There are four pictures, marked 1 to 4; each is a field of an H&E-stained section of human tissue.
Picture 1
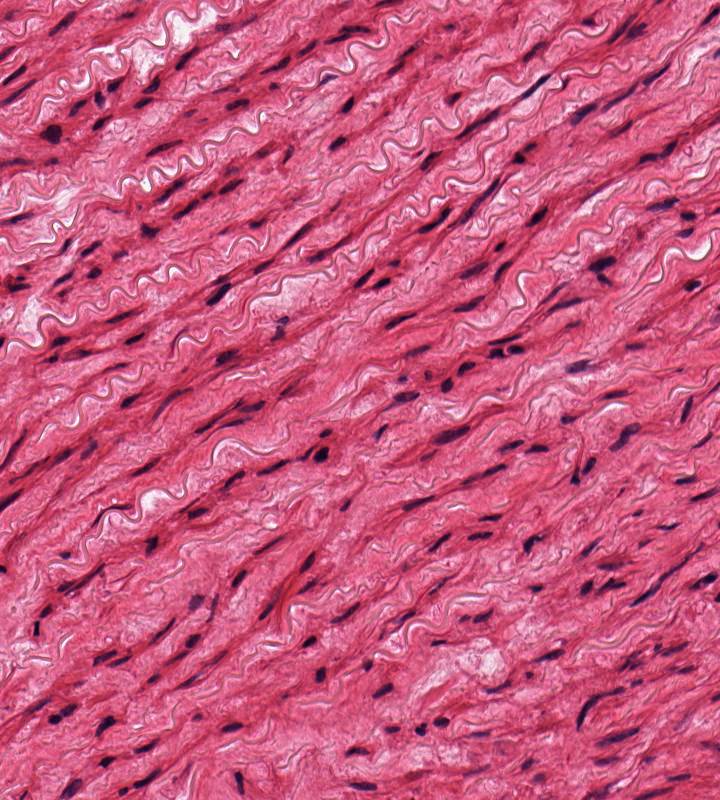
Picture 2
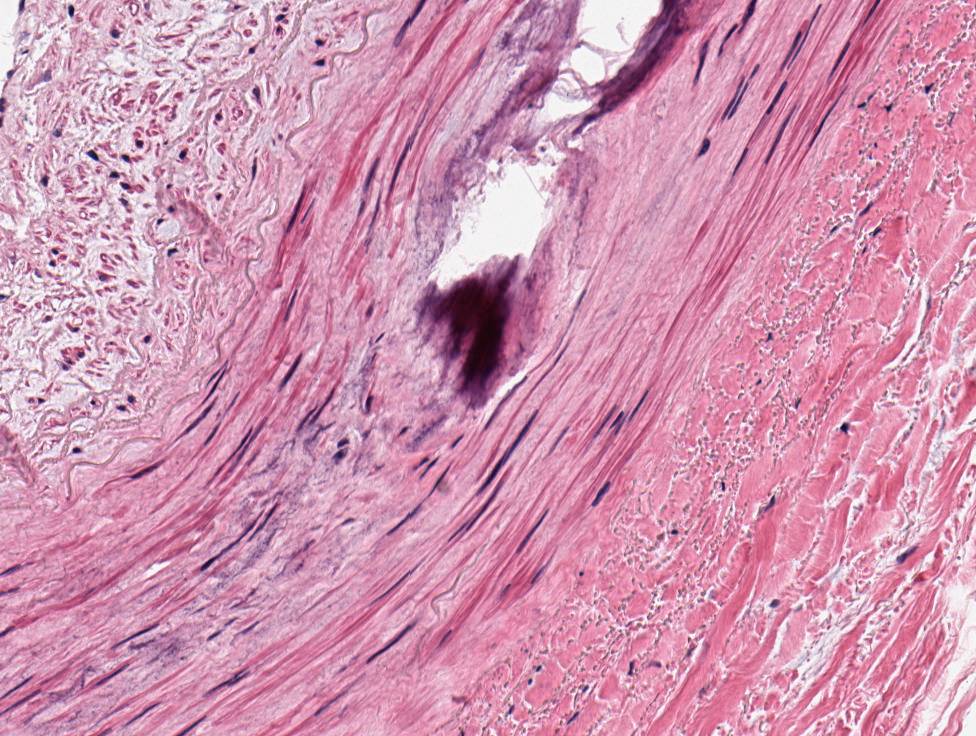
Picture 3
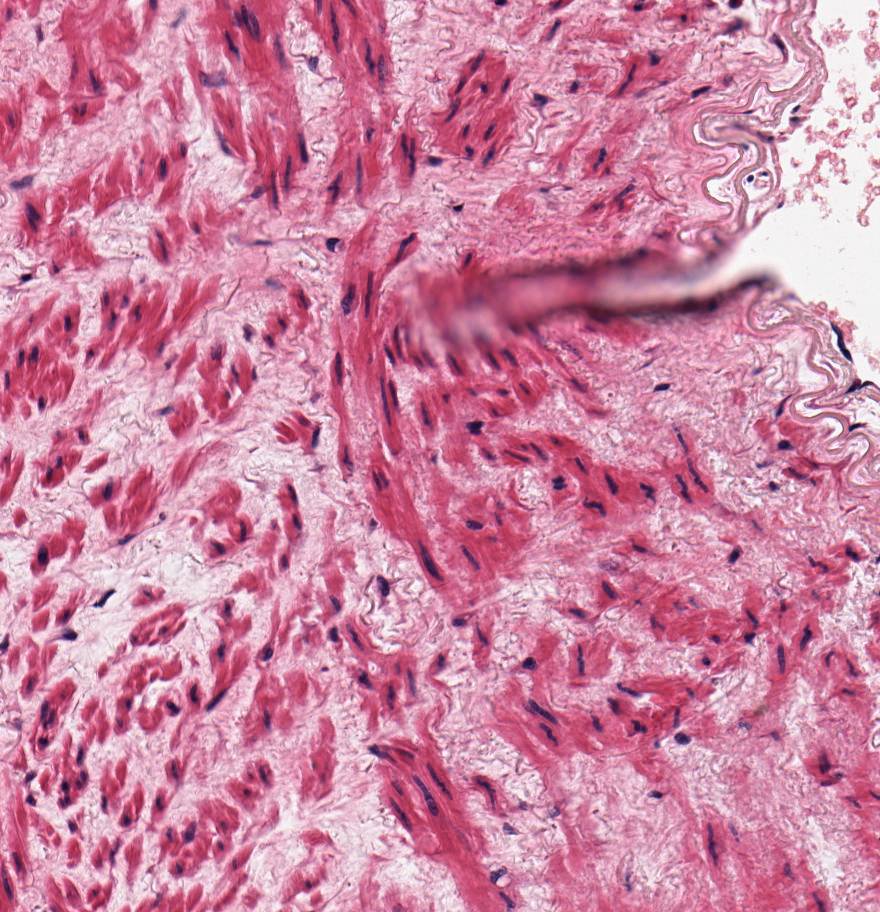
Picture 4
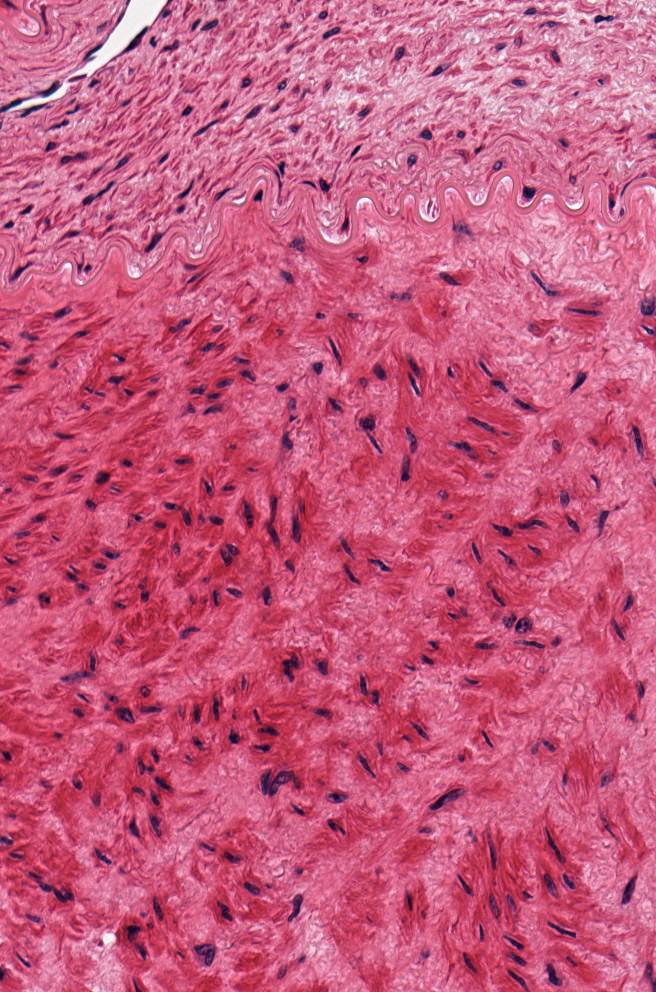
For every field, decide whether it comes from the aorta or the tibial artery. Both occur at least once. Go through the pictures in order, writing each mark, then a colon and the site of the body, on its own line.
1: aorta
2: tibial artery
3: tibial artery
4: tibial artery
